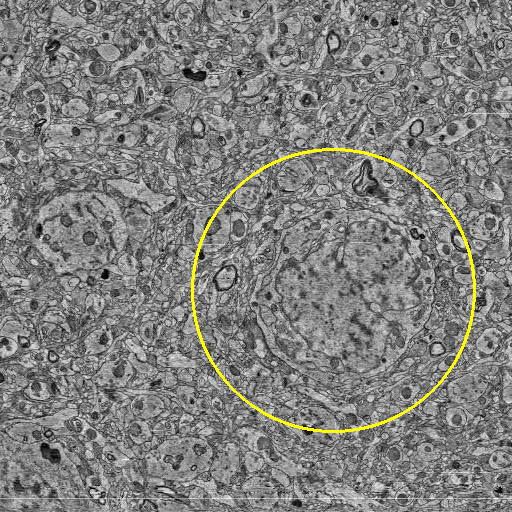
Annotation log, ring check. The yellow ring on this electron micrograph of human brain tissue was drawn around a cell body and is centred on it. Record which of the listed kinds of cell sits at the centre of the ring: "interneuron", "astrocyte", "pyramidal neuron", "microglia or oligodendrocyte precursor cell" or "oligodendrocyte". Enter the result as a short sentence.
The cell at the centre of the ring is an interneuron.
